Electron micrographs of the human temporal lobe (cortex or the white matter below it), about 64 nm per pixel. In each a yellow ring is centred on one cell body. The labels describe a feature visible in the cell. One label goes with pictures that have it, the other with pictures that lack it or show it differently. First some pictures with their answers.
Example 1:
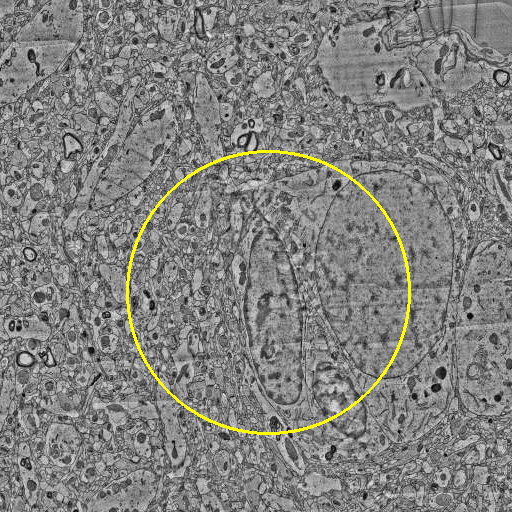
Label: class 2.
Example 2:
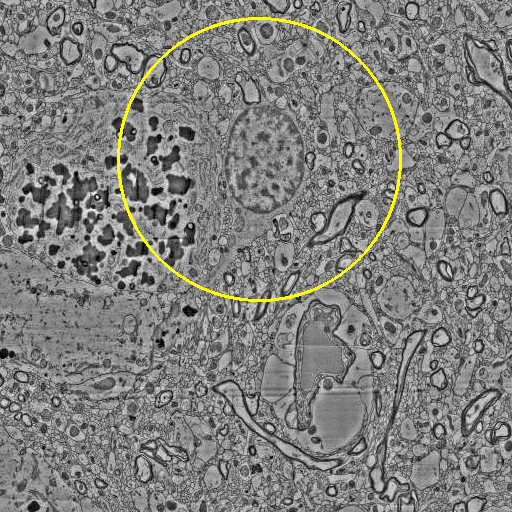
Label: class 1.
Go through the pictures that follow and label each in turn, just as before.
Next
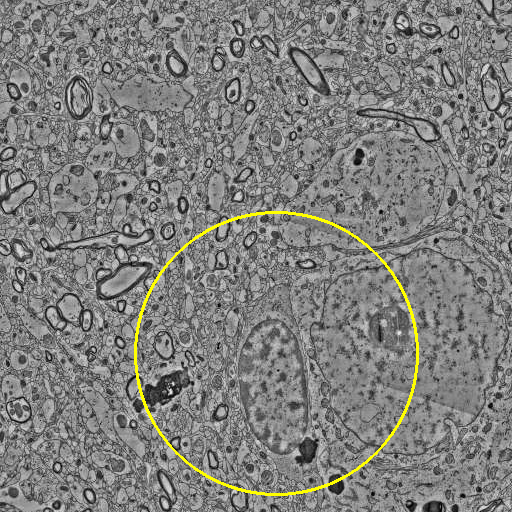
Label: class 2.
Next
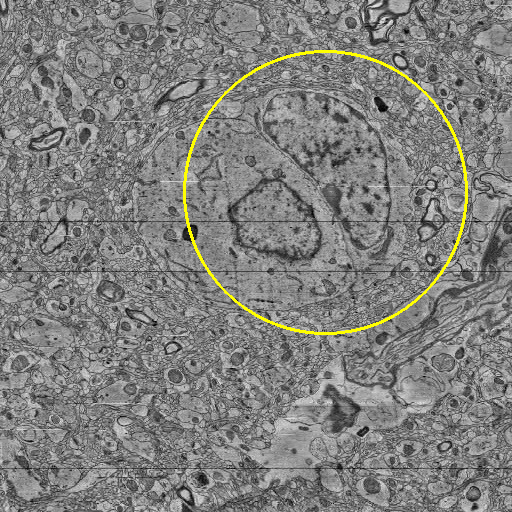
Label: class 1.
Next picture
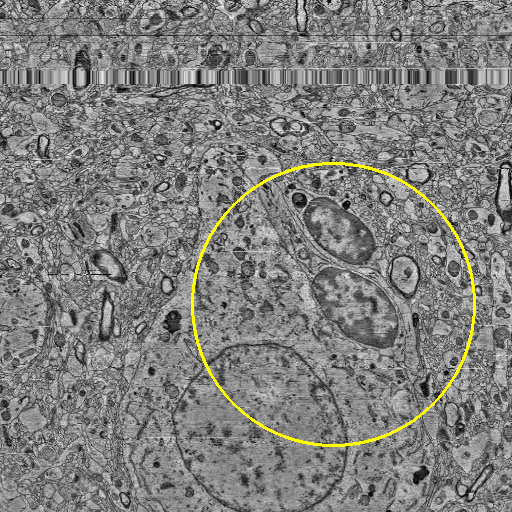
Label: class 2.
